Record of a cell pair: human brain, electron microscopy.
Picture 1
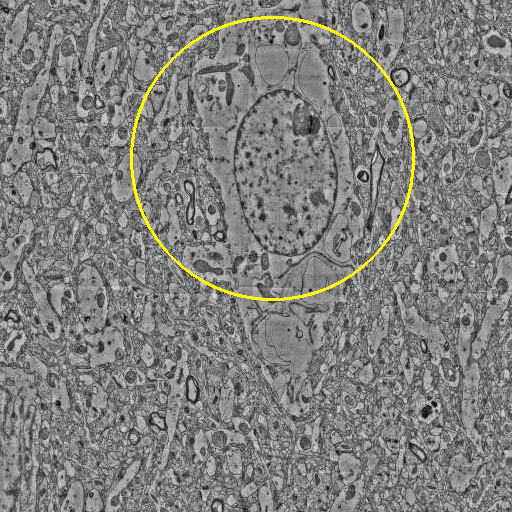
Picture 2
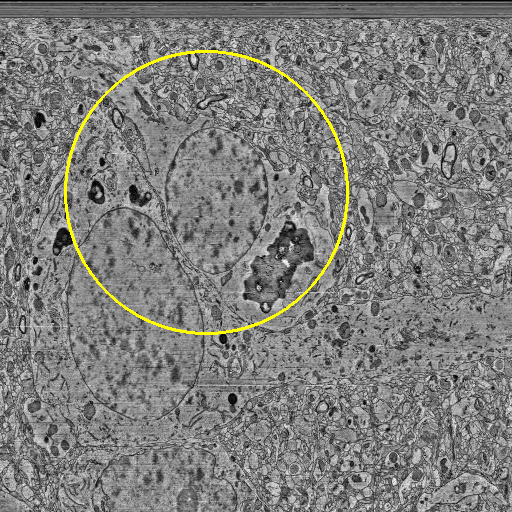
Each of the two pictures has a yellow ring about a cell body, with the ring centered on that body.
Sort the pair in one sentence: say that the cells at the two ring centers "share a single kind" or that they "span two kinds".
The cells centered in the rings of Pictures 1 and 2 share a single kind.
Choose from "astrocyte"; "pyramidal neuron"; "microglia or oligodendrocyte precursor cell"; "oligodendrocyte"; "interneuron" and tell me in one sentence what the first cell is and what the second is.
Both pictures show an astrocyte at the centre of the ring.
